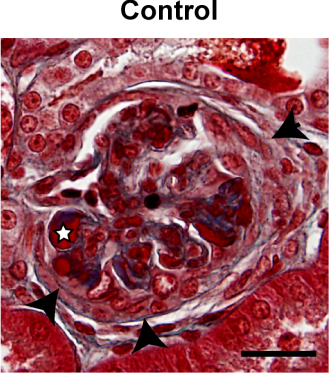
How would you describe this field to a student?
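This is a single glomerulus of the kidney, cut through its middle and surrounded by tubules. The capillary tuft in the centre is crowded with round nuclei and deep red patches within the capillary loops. Around the tuft, filling much of the space inside the capsule, lie layers of flattened and plump cells, forming a crescent that hugs the tuft. Pale bluish-grey fibres outline the capsule.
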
